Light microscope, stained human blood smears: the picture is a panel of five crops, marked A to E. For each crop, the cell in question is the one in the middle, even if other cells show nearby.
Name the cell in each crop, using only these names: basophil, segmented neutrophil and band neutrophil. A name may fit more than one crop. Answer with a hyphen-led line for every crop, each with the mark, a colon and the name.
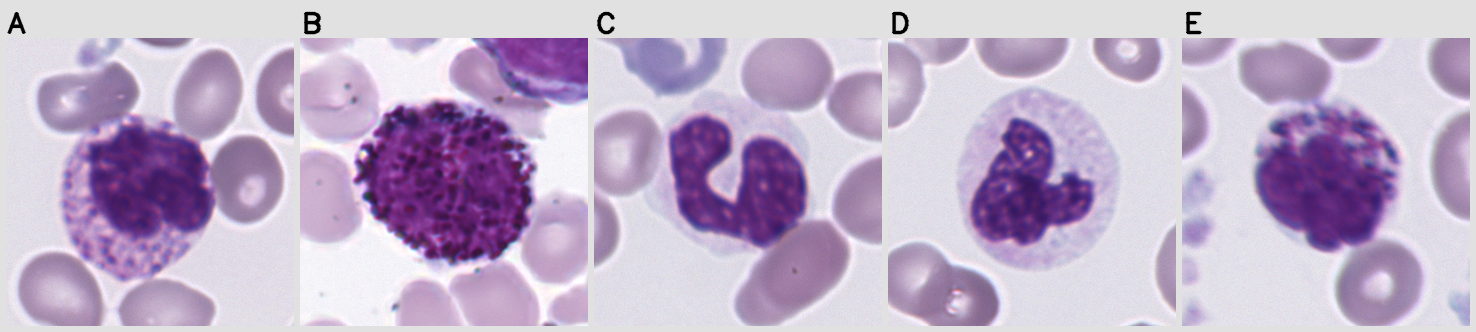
- A: basophil
- B: basophil
- C: band neutrophil
- D: segmented neutrophil
- E: basophil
